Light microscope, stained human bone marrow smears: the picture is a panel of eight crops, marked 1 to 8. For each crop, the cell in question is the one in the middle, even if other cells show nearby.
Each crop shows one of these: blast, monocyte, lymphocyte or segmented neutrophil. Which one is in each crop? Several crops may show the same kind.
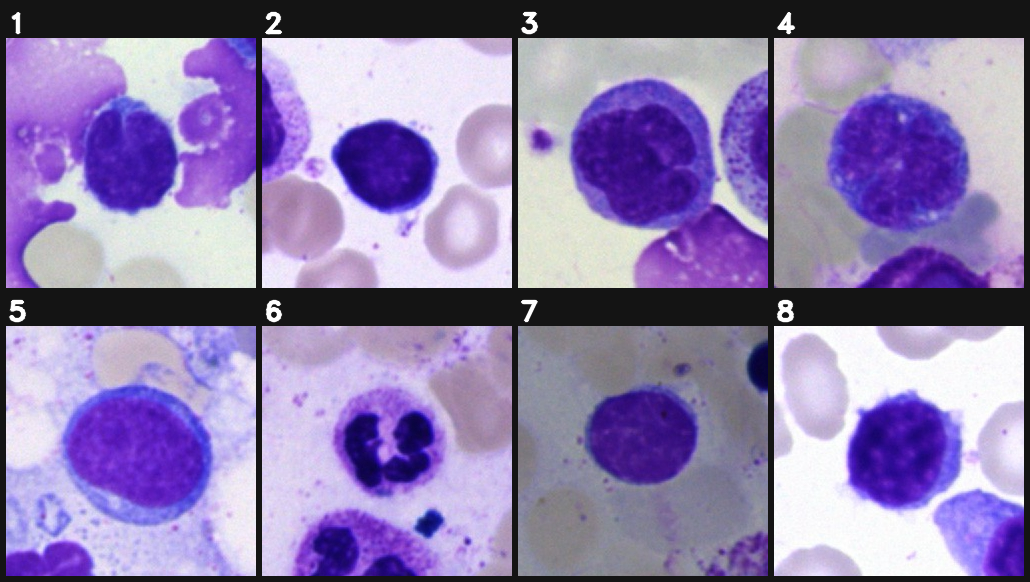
1: lymphocyte
2: lymphocyte
3: monocyte
4: monocyte
5: blast
6: segmented neutrophil
7: lymphocyte
8: lymphocyte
